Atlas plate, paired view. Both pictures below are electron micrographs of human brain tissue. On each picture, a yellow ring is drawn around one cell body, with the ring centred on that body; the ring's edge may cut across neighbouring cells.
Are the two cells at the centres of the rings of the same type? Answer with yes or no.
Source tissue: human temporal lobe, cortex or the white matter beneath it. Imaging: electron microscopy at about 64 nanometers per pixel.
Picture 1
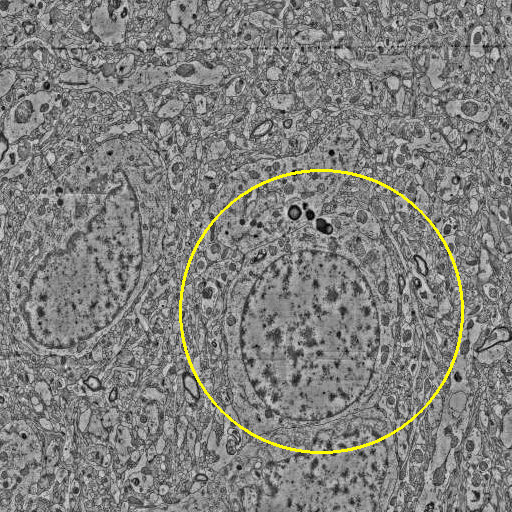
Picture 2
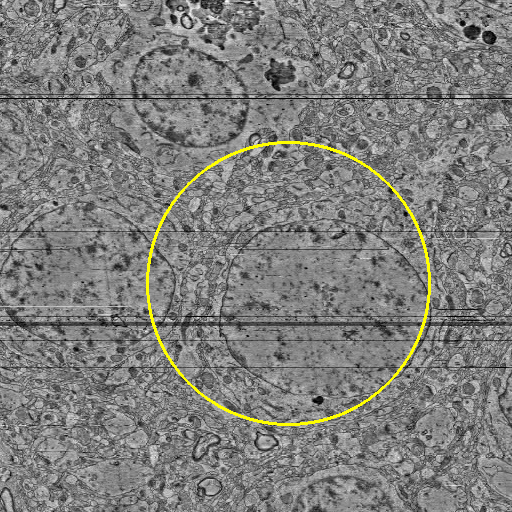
yes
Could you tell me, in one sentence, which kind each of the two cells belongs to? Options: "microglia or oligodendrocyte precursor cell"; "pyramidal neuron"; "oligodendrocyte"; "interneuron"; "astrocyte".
Each of the two pictures has a pyramidal neuron at the ring centre.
